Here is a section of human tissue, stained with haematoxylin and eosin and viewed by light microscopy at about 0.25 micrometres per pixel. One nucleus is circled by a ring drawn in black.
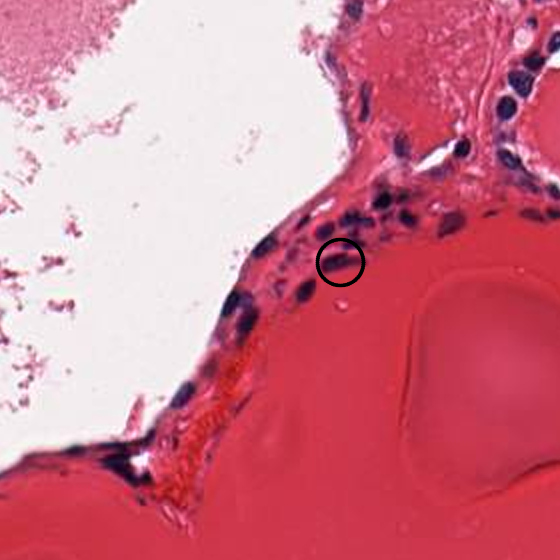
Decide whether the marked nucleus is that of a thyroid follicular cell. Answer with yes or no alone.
yes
